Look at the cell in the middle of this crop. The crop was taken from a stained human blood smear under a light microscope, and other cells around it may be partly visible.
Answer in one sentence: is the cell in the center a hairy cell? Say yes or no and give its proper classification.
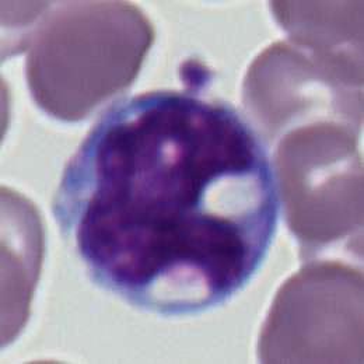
No, the central cell is not a hairy cell, being instead a monocyte.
